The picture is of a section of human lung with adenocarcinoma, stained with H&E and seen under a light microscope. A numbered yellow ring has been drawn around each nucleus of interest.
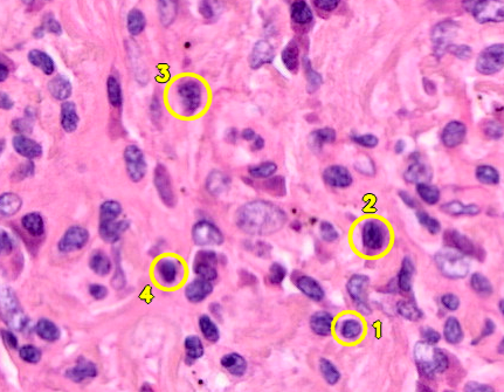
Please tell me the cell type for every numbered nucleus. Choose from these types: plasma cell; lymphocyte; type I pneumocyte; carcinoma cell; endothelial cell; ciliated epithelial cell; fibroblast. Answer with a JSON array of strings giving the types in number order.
["lymphocyte", "plasma cell", "plasma cell", "plasma cell"]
